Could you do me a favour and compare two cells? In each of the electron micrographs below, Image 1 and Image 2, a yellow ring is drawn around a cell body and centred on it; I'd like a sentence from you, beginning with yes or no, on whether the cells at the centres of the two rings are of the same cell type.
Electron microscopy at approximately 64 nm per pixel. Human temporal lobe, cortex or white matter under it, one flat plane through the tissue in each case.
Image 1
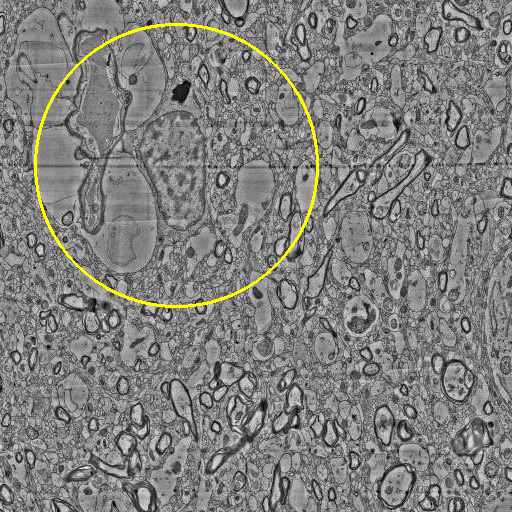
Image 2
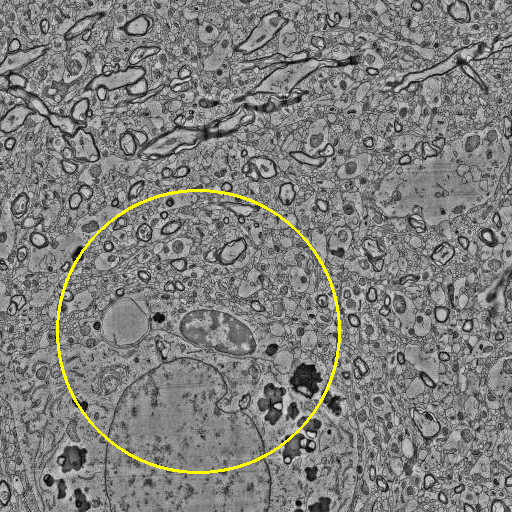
No, the two cells are of two cell types.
